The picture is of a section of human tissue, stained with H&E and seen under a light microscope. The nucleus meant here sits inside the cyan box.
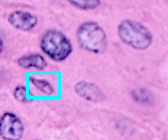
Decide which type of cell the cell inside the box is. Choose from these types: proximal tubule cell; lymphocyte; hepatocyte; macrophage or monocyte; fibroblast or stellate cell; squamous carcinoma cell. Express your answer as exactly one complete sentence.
In this field of tissue, the cell inside the box is a squamous carcinoma cell.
